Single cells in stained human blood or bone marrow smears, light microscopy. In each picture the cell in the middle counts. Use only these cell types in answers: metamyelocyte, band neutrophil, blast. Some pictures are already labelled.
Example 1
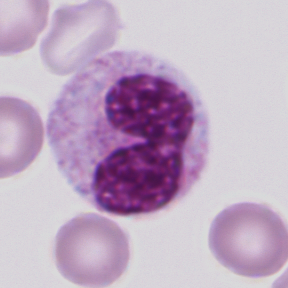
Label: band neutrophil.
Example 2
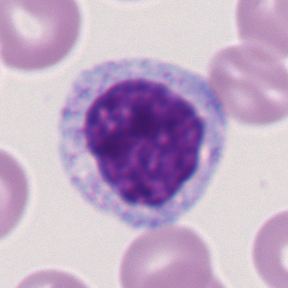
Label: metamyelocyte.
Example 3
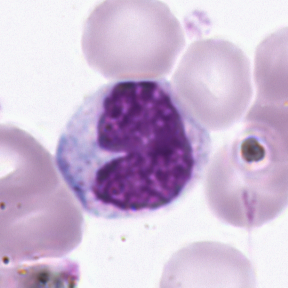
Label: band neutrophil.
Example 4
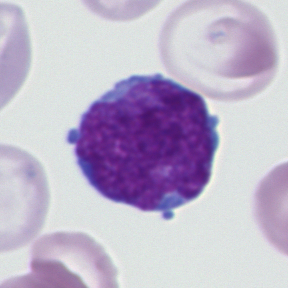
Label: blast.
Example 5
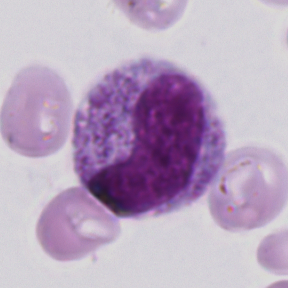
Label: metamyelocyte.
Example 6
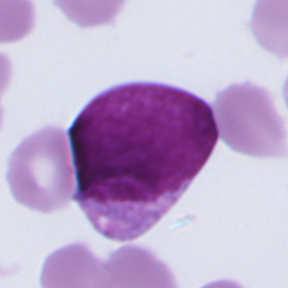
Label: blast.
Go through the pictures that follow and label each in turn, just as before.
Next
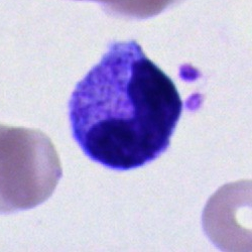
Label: band neutrophil.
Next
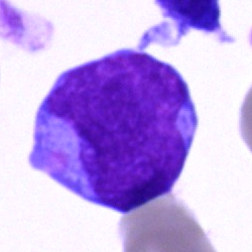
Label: blast.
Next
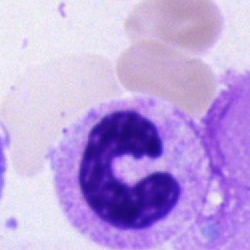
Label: band neutrophil.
